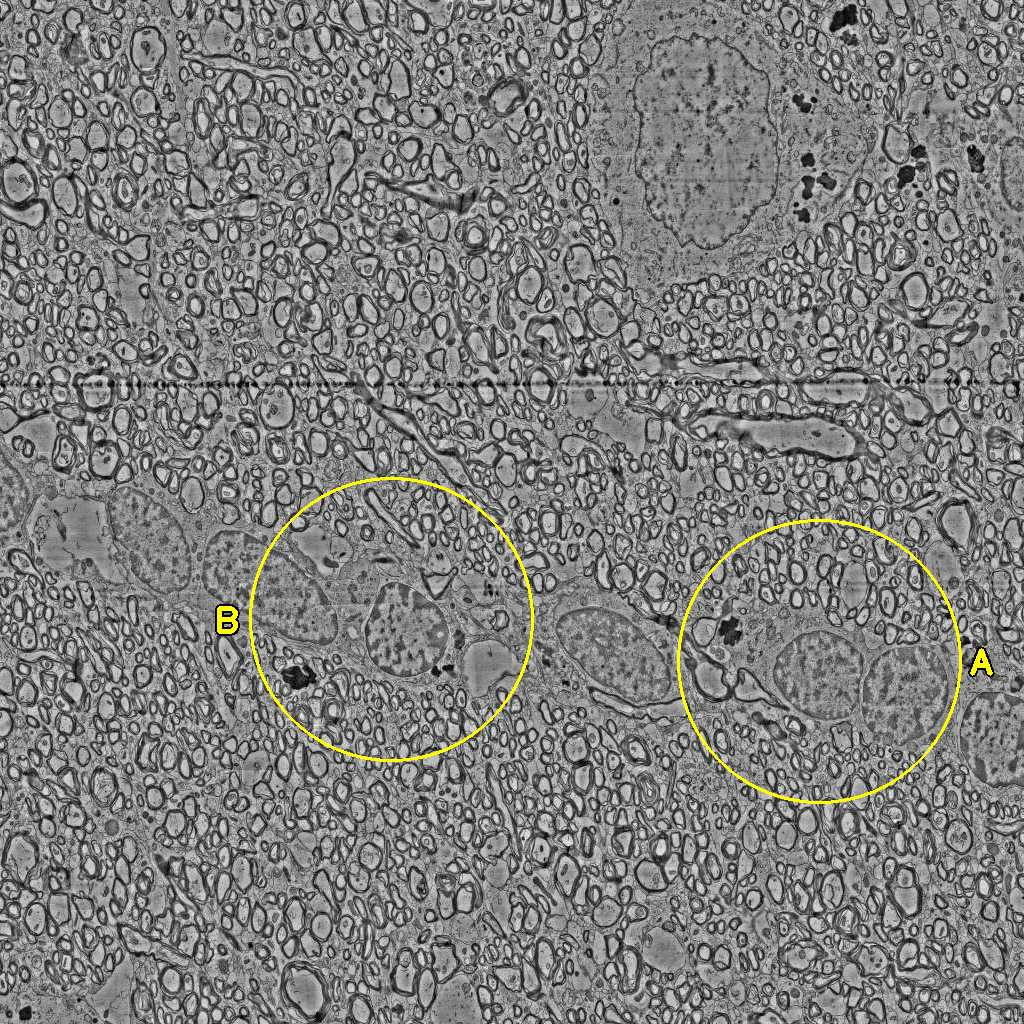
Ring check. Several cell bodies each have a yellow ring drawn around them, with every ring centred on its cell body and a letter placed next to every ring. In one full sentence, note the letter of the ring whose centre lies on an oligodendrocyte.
At the centre of ring A lies the cell asked for in this check.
